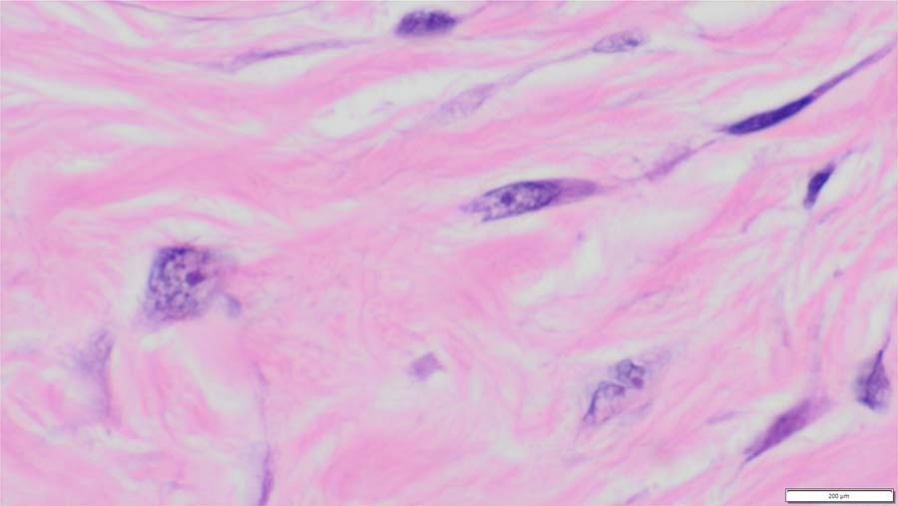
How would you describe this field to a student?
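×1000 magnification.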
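Spindle cells lie scattered singly in a stroma of thin, wavy, pale-pink collagen bands that run roughly parallel to one another. Some nuclei are dark purple, slender and tapered at both ends. The cytoplasm is pink and drawn out into long, thin extensions along the axis of the cells, blending into the surrounding fibres. The cells are widely spaced and follow the direction of the collagen bands. The tissue has low cellularity overall.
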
